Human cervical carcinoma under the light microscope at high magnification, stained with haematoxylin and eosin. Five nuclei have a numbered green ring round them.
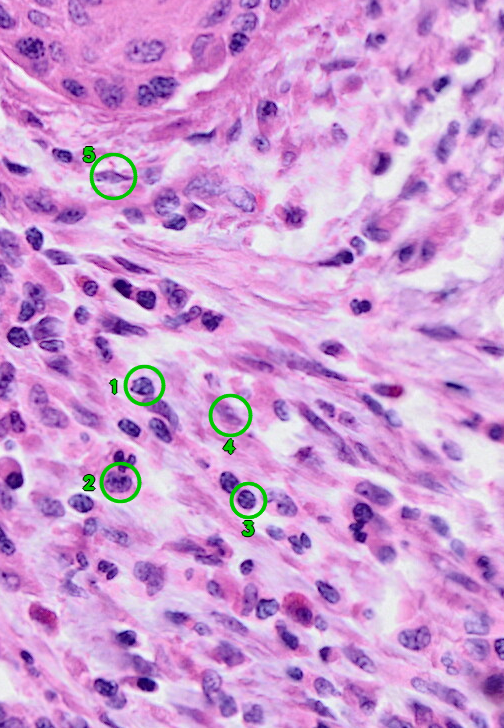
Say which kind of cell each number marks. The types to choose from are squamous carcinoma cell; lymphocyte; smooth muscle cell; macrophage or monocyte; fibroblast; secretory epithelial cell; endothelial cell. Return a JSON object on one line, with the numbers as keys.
{"1": "lymphocyte", "2": "macrophage or monocyte", "3": "lymphocyte", "4": "fibroblast", "5": "fibroblast"}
